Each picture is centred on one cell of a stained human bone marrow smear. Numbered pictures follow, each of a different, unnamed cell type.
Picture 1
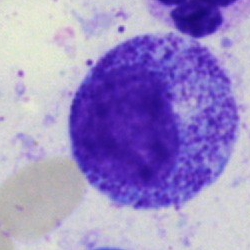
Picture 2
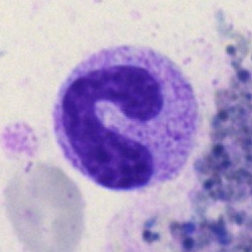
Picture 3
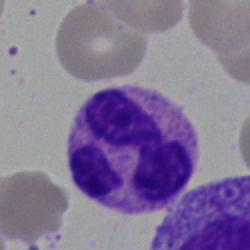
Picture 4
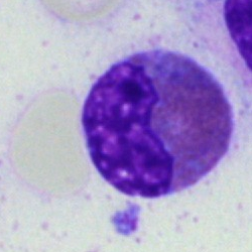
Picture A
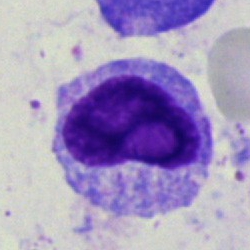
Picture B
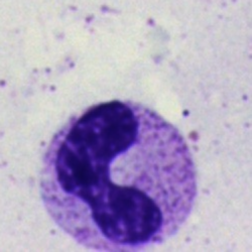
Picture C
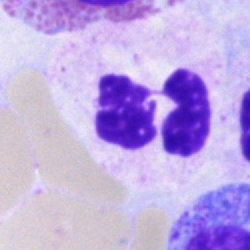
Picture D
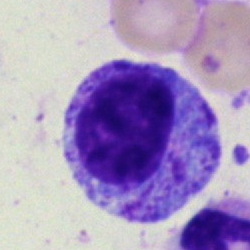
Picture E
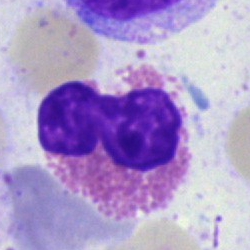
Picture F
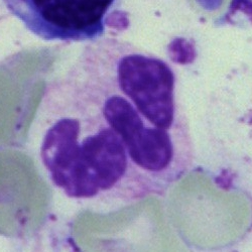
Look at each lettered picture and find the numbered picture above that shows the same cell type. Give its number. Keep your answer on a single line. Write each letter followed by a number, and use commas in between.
A 1, B 2, C 3, D 1, E 4, F 3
